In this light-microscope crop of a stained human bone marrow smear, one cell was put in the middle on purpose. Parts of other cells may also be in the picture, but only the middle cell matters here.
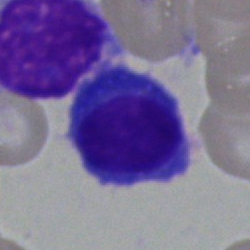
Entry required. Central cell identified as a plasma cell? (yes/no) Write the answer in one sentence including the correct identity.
Yes, the one cell at the centre is a plasma cell.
